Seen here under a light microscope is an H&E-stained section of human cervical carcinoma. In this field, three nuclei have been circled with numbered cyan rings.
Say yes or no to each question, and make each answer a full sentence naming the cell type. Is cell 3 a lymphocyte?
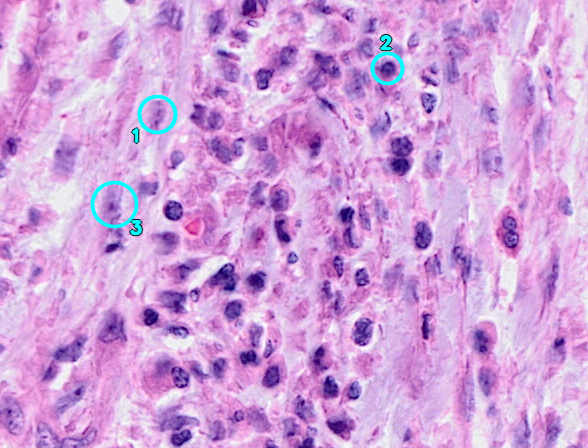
No, number 3 is not a lymphocyte; it is a fibroblast.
